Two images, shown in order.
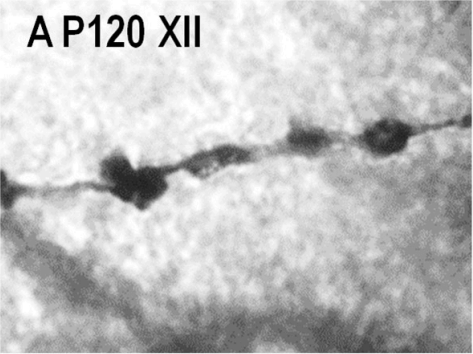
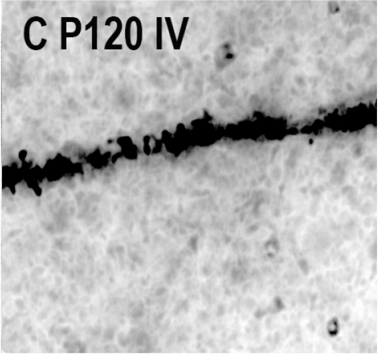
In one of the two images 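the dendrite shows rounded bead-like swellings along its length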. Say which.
the first image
